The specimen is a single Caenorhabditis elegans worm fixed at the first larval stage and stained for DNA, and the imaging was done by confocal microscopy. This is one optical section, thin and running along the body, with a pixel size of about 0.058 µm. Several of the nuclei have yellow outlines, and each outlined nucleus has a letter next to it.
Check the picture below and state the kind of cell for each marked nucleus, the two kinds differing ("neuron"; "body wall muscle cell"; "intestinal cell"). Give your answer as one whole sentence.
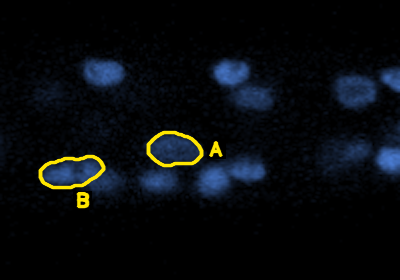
A belongs to an intestinal cell and B to a body wall muscle cell.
